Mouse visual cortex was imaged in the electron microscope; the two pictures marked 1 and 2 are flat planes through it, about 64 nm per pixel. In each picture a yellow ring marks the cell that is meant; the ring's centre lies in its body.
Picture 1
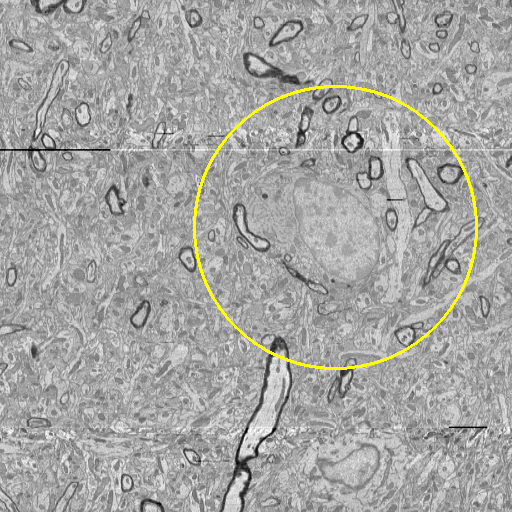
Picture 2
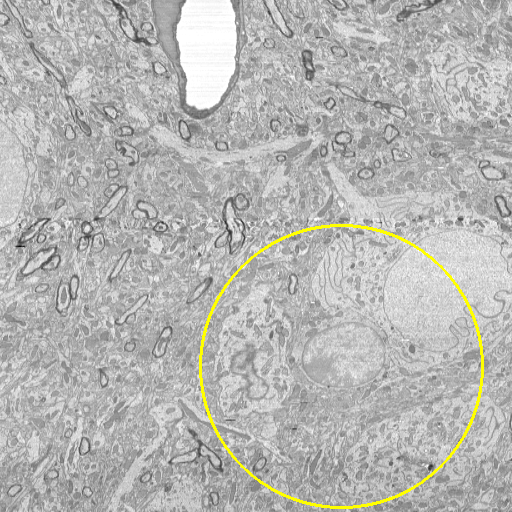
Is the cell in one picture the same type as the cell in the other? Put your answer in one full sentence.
Yes, both cells are oligodendrocytes.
